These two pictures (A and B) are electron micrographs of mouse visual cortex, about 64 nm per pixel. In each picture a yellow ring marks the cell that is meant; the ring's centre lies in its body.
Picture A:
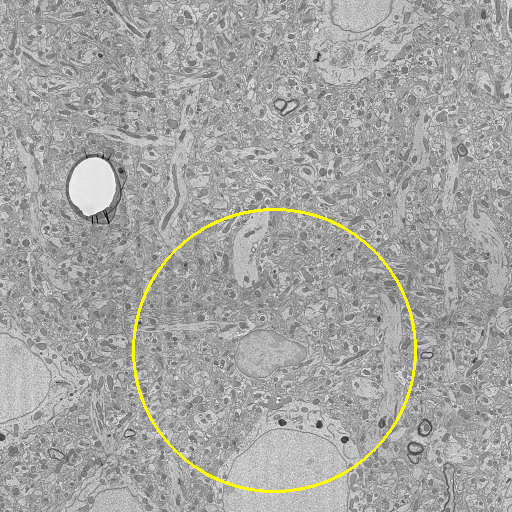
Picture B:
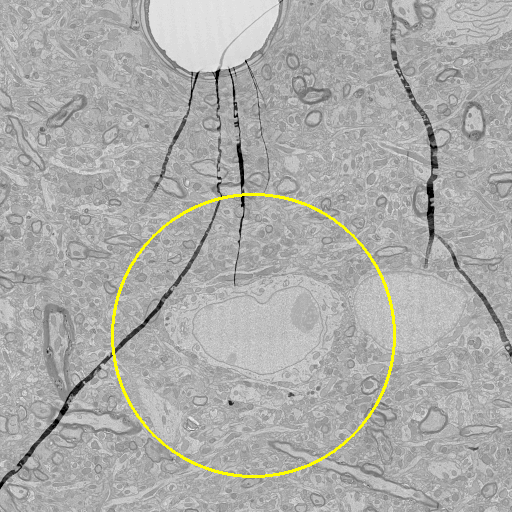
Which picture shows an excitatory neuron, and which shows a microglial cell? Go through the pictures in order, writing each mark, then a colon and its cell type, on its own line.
A: microglial cell
B: excitatory neuron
